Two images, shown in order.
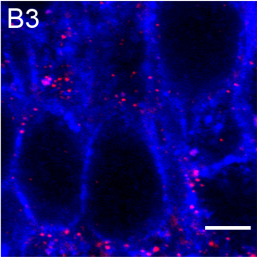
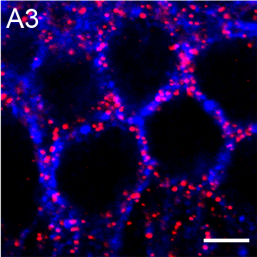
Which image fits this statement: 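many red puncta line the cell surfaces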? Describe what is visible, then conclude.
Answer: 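The second image. First image: few, sparse red dots along the blue cell outlines. Second image: numerous red dots crowd the blue cell outlines.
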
